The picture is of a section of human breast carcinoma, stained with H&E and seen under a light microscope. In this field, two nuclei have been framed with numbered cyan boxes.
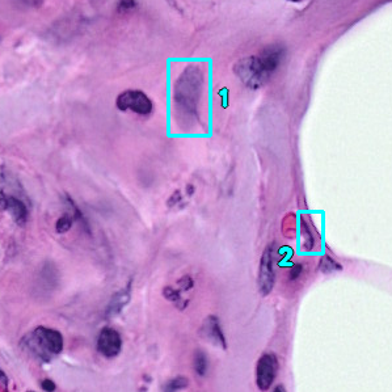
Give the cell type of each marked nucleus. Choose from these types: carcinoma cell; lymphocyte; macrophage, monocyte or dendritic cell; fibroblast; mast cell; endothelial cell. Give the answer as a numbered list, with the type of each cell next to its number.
1. fibroblast
2. endothelial cell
